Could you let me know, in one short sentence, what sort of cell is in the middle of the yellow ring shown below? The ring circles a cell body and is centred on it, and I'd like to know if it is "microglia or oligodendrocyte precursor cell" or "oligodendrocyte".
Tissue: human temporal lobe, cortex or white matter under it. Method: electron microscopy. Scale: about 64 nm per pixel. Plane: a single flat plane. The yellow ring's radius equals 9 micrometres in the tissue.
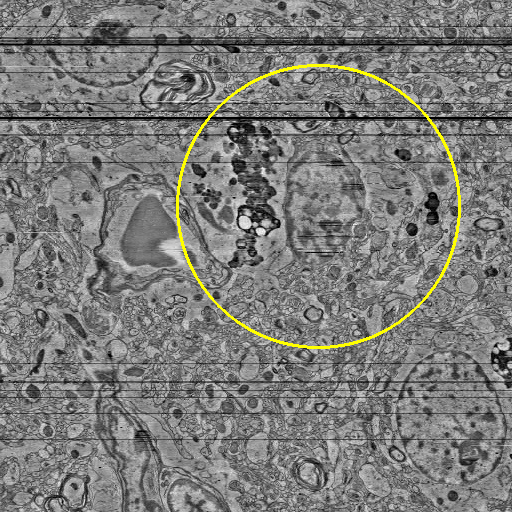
The ring circles the cell body of an oligodendrocyte.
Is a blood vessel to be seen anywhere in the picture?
Yes, there is a blood vessel.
